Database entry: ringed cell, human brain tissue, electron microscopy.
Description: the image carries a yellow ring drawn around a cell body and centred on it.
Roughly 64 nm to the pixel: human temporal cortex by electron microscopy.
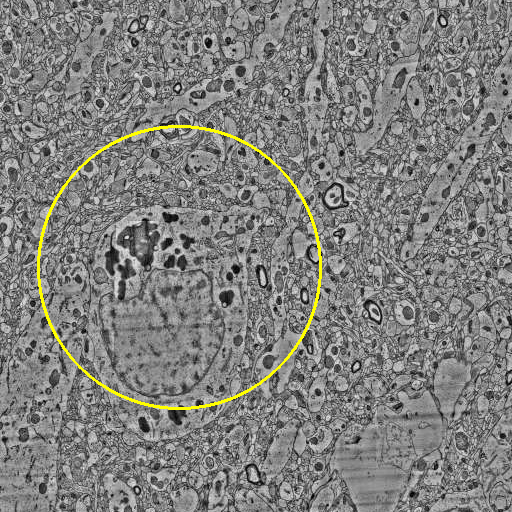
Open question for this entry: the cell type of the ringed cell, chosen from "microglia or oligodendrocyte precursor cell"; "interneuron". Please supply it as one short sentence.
The ringed cell is an interneuron.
